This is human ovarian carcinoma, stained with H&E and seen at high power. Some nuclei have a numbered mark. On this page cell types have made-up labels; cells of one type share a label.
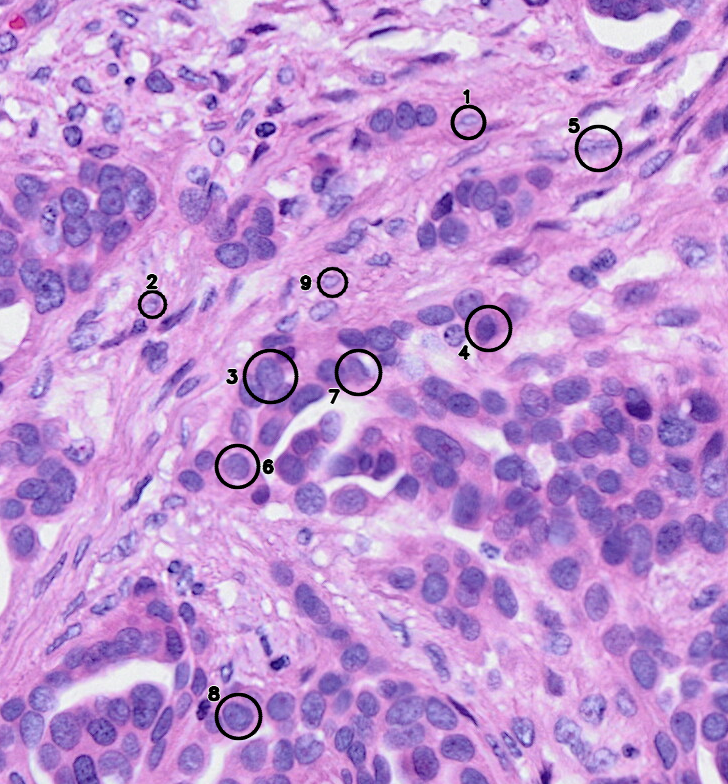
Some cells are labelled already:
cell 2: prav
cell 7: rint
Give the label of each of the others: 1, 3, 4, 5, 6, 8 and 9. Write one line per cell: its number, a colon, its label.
1: prav
3: rint
4: rint
5: prav
6: rint
8: rint
9: prav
